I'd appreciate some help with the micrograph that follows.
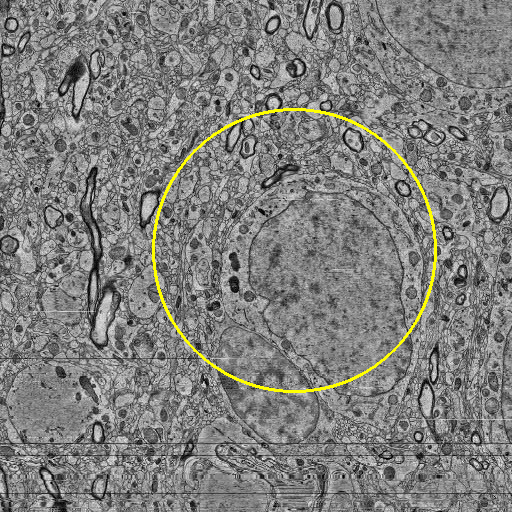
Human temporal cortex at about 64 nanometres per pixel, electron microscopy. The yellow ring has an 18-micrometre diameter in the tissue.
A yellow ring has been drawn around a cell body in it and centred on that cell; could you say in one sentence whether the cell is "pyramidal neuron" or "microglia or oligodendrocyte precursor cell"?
It is a pyramidal neuron at the centre of the ring.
